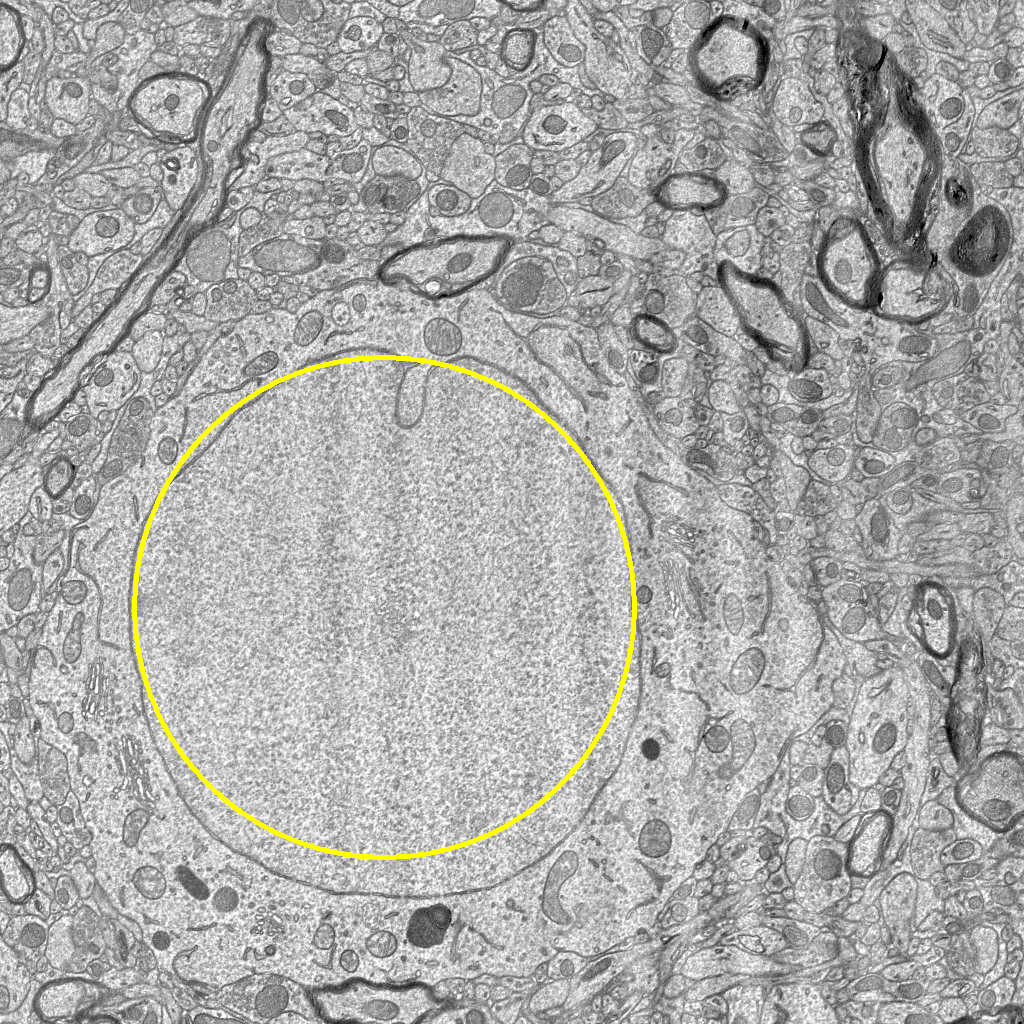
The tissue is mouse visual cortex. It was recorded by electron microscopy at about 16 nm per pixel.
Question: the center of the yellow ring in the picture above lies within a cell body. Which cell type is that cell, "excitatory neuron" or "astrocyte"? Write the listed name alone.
excitatory neuron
